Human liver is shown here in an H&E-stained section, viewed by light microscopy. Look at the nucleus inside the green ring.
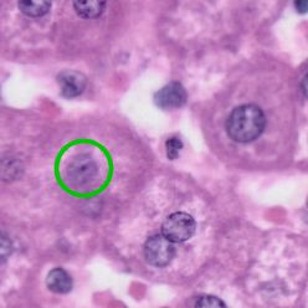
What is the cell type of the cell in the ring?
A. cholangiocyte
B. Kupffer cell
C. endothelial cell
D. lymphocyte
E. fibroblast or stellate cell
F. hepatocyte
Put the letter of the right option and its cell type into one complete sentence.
Here the cell in the ring is a hepatocyte, which makes option F correct.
